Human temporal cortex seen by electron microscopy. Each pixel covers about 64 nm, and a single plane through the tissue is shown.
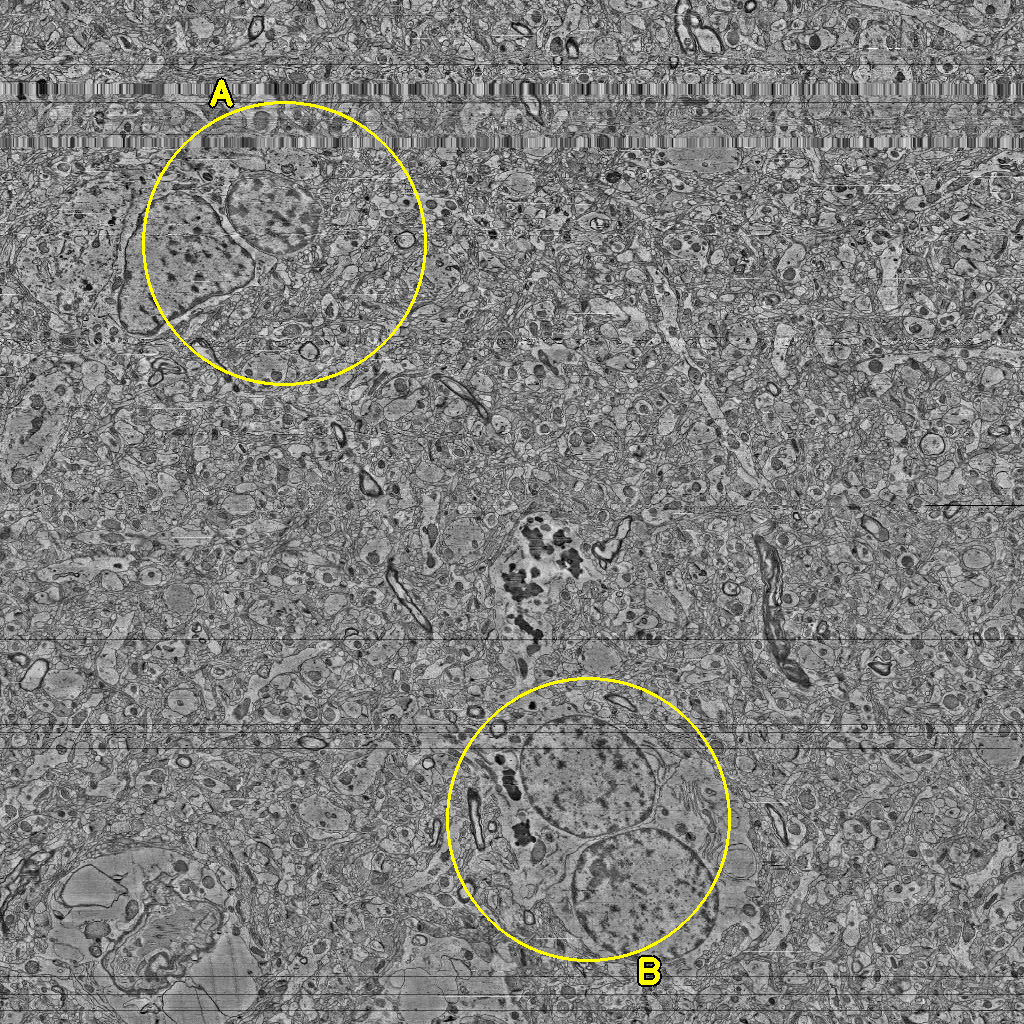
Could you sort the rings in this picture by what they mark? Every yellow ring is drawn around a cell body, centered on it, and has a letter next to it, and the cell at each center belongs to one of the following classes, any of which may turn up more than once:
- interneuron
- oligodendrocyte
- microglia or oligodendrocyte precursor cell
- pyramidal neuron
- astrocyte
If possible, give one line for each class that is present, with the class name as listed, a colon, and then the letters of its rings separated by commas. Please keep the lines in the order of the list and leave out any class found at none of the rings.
oligodendrocyte: A
astrocyte: B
